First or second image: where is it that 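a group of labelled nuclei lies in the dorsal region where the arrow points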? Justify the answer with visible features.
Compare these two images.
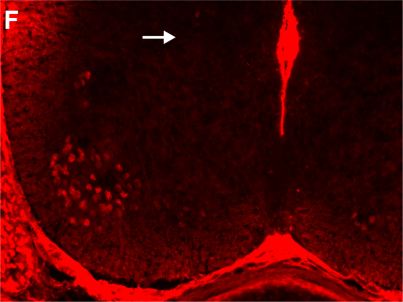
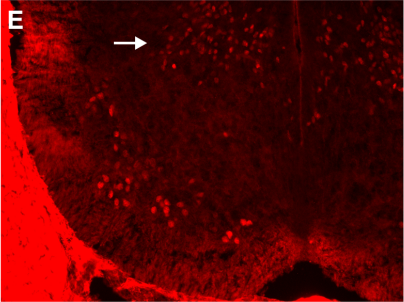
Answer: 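First image: the area at the arrow is dark with few or no red nuclei. Second image: several red nuclei are grouped at and to the right of the arrow.
Answer: the second image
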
